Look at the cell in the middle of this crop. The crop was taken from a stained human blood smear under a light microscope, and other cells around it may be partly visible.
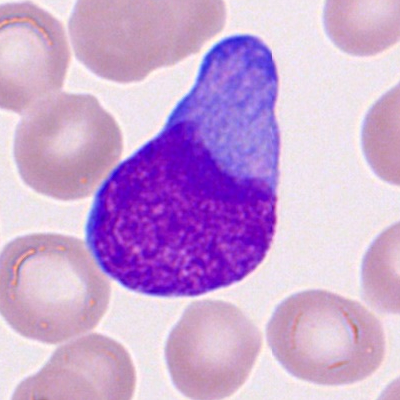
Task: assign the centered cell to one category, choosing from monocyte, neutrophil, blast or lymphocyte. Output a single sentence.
The cell at the middle of the crop is recognized as a blast.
